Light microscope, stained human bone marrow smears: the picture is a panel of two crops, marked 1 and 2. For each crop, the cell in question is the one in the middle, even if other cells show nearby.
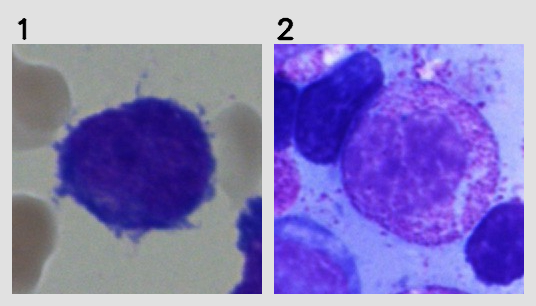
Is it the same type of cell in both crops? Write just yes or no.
no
